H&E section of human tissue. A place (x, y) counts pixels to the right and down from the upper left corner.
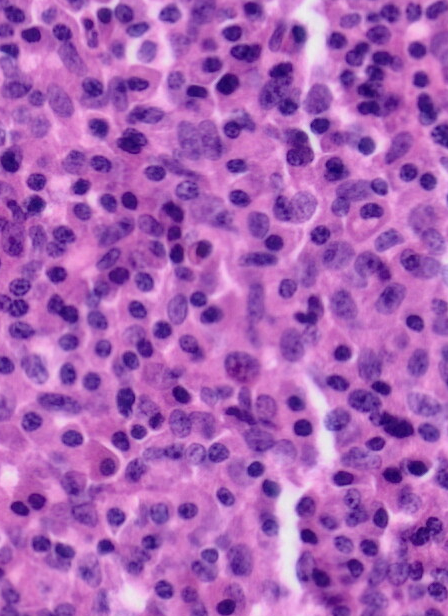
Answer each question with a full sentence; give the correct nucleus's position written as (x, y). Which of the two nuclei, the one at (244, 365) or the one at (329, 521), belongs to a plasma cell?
Answering which nucleus it is: the one at (329, 521), belonging to a plasma cell.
